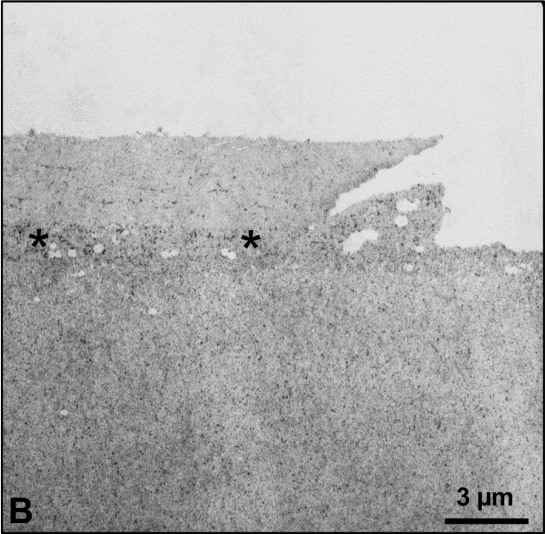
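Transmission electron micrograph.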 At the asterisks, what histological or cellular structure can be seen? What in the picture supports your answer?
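A horizontal band runs parallel to the surface below the superficial layer. Small clear round vacuoles line this band. The matrix above and below the band differs in texture.
Answer: vacuolar interface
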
